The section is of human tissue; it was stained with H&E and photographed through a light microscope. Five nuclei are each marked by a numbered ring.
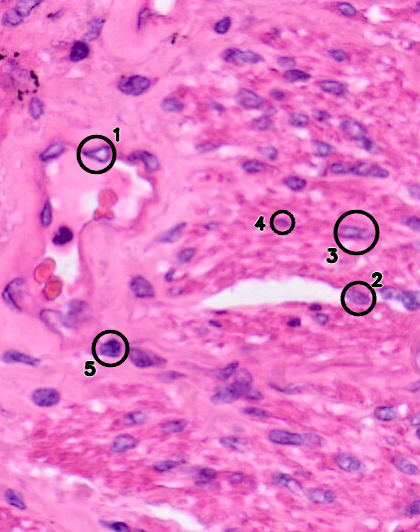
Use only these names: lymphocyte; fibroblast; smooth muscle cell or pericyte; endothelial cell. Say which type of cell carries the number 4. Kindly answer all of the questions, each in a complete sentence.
The cell identified by number 4 is a smooth muscle cell or pericyte.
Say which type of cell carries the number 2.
Denoted by the label 2 in the section is a smooth muscle cell or pericyte.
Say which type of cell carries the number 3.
Here, the cell given the number 3 is a smooth muscle cell or pericyte.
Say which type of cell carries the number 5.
The cell that is numbered 5 is a lymphocyte.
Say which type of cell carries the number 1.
The cell whose nucleus carries the number 1 is an endothelial cell.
